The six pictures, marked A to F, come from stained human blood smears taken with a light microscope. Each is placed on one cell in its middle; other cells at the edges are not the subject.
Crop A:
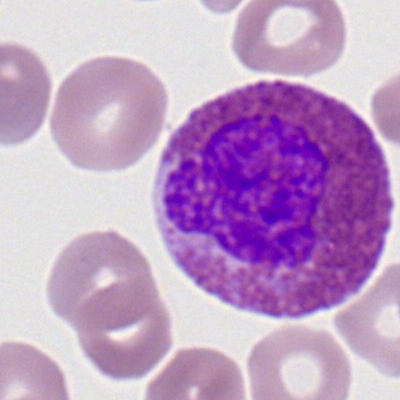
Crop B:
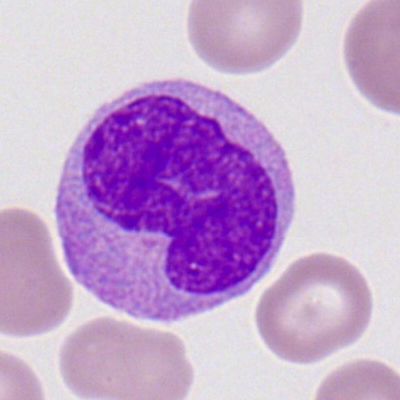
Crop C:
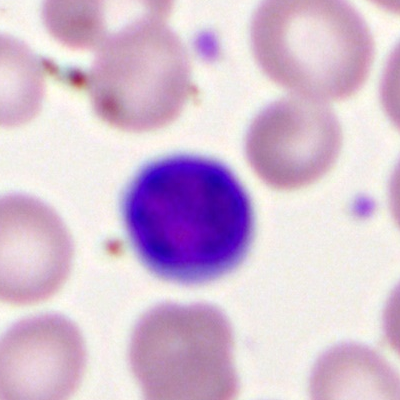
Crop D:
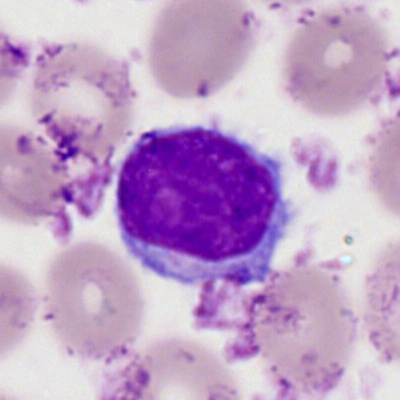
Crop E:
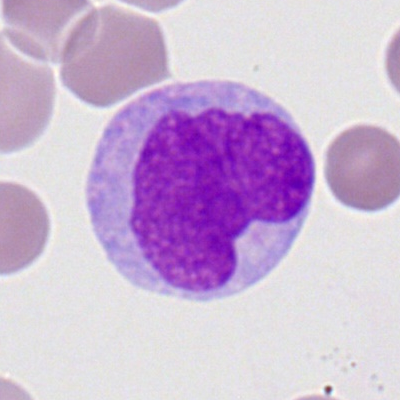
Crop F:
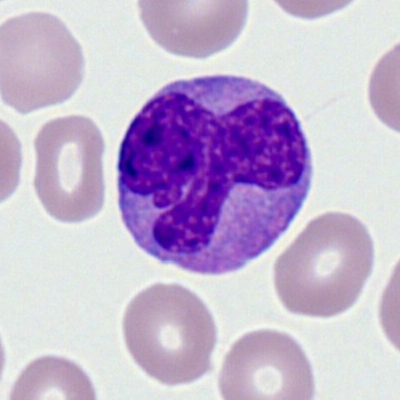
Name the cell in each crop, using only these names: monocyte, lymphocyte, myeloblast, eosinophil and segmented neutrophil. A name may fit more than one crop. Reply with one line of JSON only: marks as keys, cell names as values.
{"A": "eosinophil", "B": "monocyte", "C": "lymphocyte", "D": "lymphocyte", "E": "monocyte", "F": "monocyte"}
